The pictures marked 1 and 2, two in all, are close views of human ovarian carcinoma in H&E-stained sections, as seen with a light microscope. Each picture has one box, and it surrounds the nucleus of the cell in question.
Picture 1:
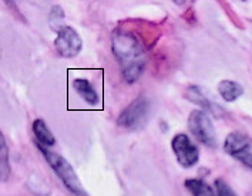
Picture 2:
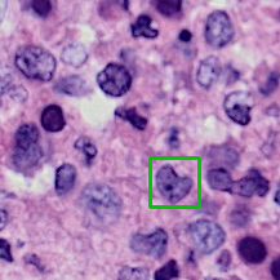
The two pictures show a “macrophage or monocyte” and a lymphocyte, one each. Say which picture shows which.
1: lymphocyte
2: macrophage or monocyte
